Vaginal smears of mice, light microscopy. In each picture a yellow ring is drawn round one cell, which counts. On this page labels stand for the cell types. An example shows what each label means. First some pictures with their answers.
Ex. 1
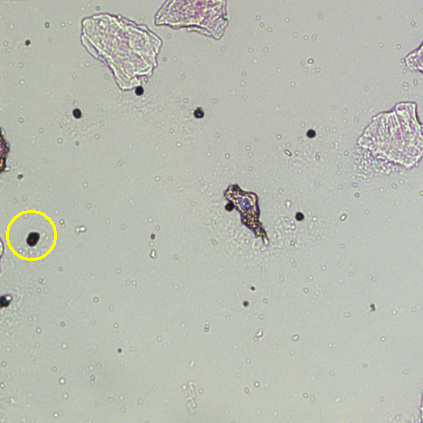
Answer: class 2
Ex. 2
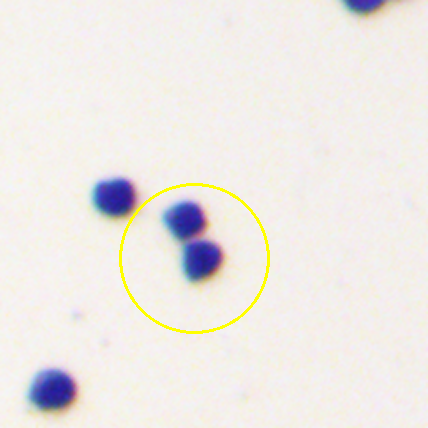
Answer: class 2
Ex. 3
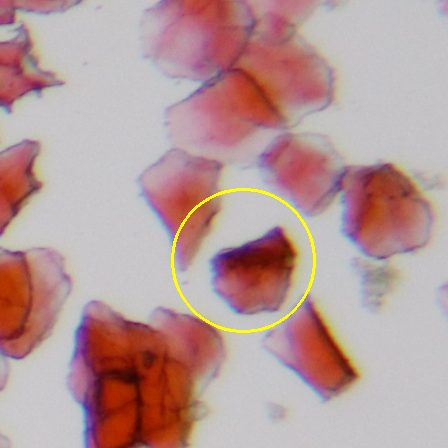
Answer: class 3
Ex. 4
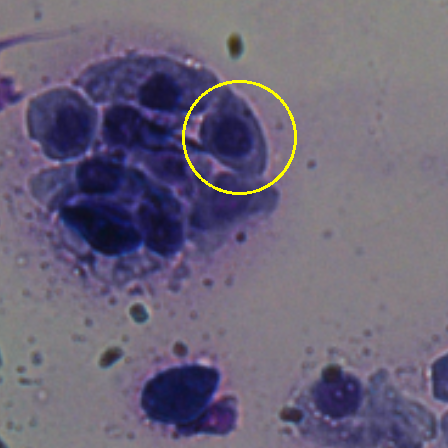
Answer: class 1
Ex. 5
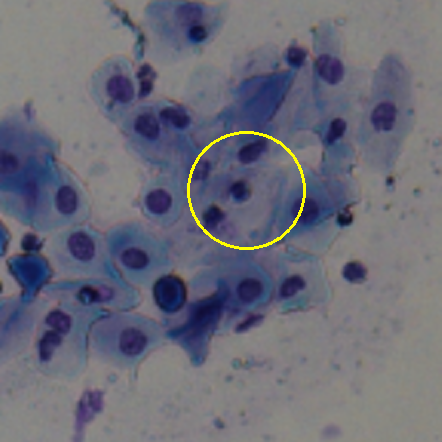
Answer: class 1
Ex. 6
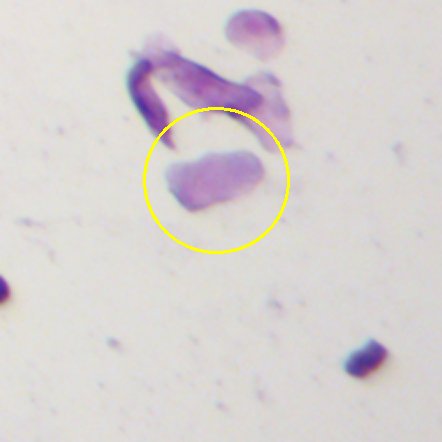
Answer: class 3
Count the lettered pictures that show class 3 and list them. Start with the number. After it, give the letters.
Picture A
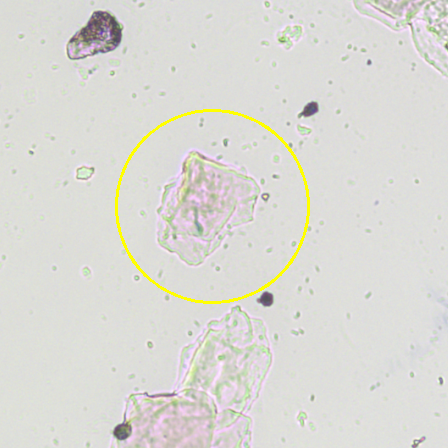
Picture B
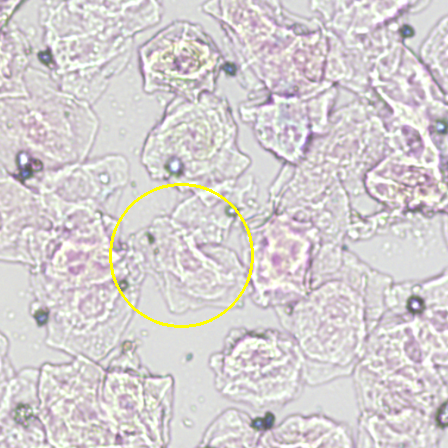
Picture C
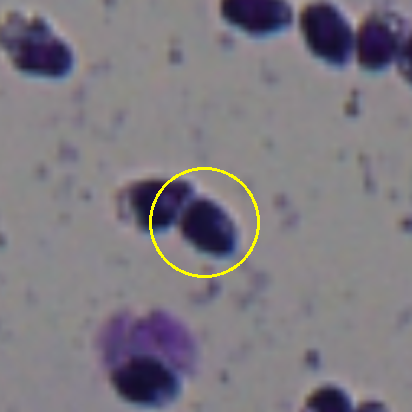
2: A, B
